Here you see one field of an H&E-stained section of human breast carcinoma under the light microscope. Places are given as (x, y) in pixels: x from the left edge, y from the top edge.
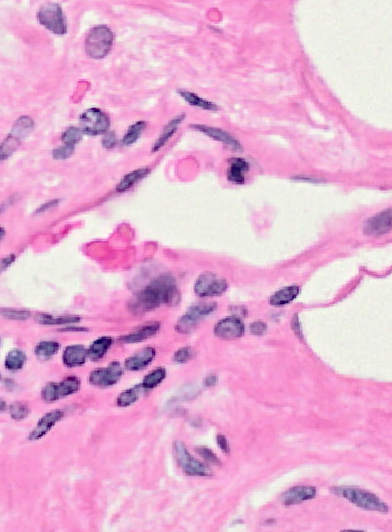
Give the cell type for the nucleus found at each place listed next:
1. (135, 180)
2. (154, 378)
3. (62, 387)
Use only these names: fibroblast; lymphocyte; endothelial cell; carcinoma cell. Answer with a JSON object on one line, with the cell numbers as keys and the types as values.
{"1": "endothelial cell", "2": "lymphocyte", "3": "lymphocyte"}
